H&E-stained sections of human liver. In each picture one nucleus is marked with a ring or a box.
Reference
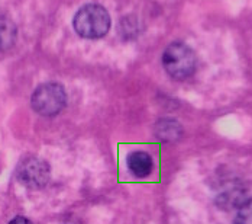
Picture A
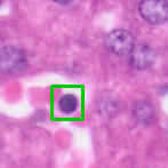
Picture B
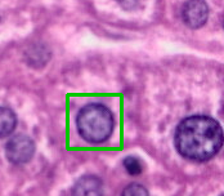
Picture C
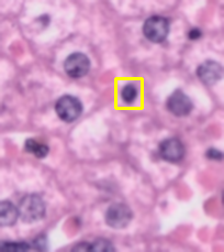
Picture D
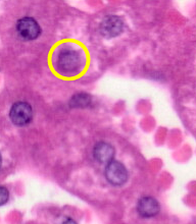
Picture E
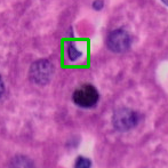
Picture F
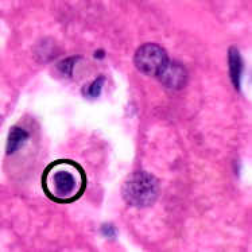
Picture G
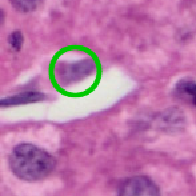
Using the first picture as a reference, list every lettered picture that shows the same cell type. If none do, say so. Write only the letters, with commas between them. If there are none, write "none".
A, C, F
